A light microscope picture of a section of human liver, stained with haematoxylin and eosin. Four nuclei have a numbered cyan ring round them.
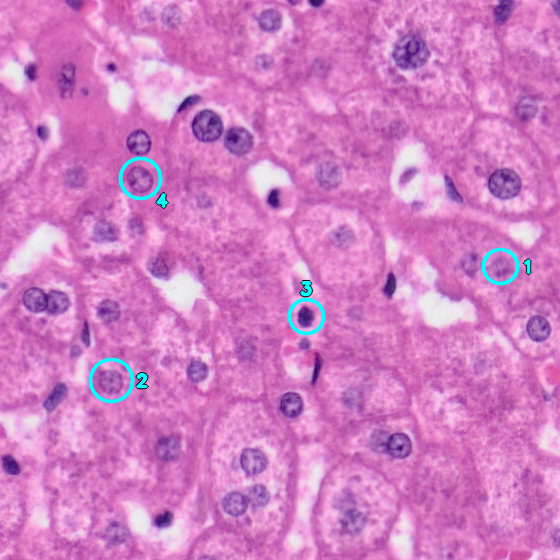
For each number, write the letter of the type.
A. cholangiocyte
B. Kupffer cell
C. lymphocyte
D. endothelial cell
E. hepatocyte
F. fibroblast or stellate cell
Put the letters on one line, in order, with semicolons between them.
E; E; C; E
